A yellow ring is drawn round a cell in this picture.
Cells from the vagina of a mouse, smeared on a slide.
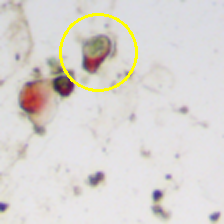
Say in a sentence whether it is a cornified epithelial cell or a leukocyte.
The cell in the ring is a cornified epithelial cell.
